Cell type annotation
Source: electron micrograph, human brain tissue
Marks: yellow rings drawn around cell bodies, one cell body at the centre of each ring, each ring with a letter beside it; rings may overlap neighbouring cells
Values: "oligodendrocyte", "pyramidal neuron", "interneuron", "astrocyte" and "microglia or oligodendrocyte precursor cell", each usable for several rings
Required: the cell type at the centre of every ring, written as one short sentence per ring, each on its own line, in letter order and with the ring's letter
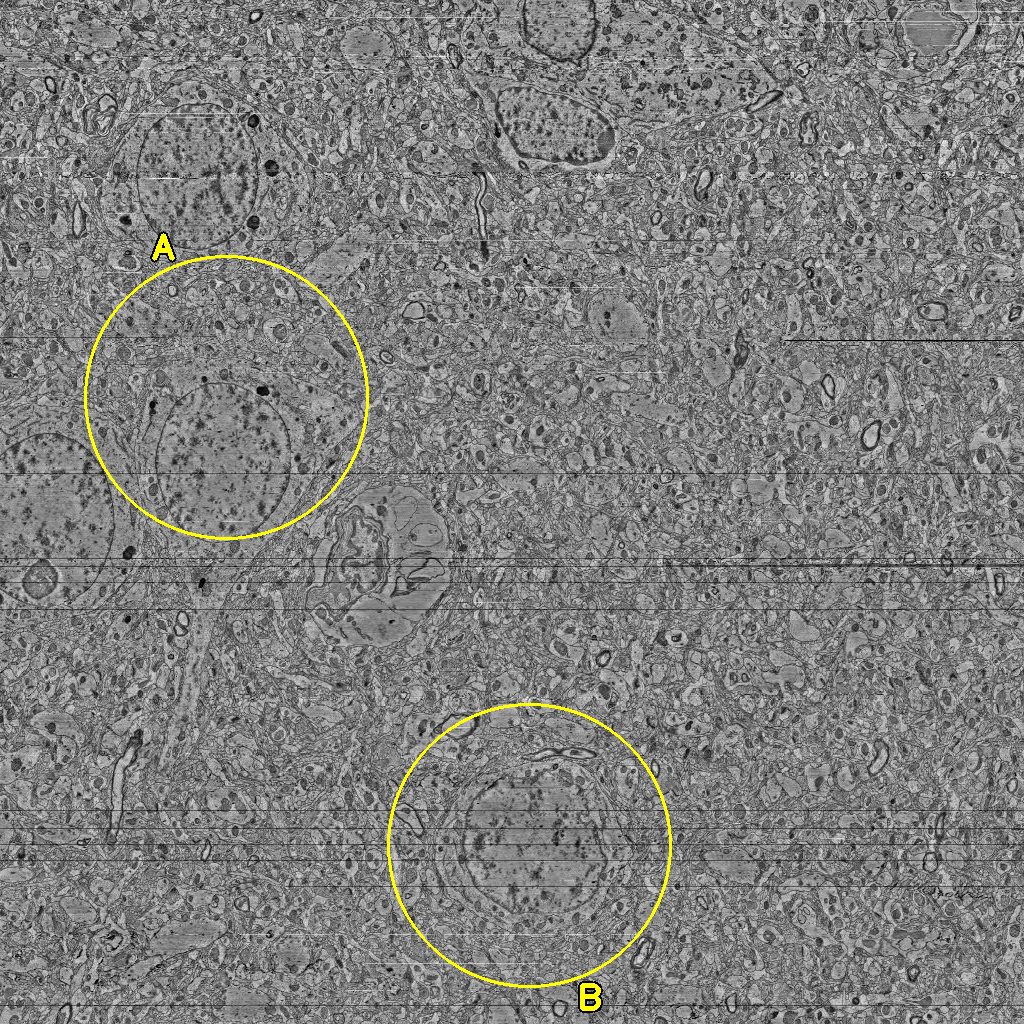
Ring A is annotated as a pyramidal neuron.
Ring B is annotated as an interneuron.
